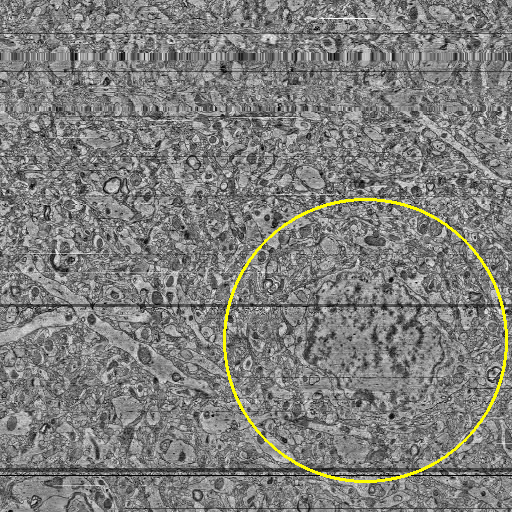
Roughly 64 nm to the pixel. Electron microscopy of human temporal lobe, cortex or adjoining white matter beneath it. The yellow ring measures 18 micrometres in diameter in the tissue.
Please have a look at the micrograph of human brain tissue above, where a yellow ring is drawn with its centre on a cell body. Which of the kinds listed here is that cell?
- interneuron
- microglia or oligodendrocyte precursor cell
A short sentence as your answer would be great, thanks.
At the centre of the ring sits an interneuron.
